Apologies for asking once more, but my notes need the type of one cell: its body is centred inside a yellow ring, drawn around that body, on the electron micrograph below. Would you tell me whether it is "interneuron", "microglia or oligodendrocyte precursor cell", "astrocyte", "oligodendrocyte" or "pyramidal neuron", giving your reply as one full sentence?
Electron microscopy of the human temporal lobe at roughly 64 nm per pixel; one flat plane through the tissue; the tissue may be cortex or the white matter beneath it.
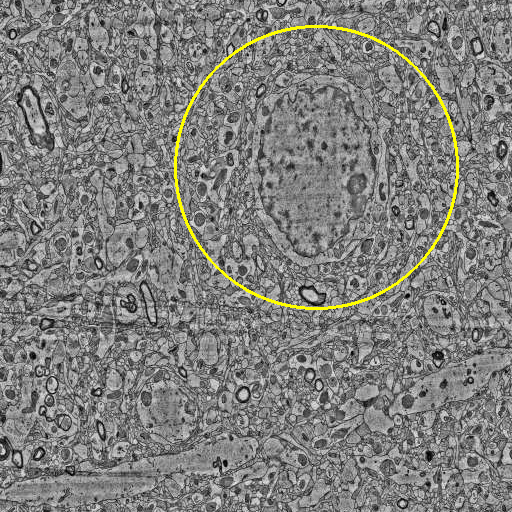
The cell that the yellow ring is centred on is an interneuron in this micrograph.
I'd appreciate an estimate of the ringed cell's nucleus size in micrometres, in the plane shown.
About 11 by 8 micrometers for the nucleus, in this plane.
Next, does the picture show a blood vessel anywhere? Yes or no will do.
No, none shows.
